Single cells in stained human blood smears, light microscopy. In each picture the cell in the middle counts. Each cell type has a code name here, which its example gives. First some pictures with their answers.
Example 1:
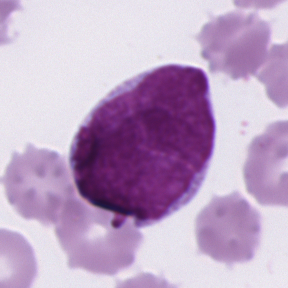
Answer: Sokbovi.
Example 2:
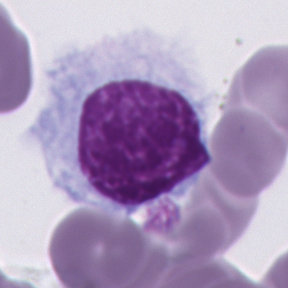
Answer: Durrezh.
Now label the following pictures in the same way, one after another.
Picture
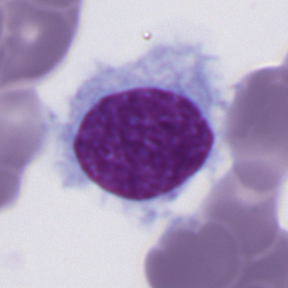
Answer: Durrezh.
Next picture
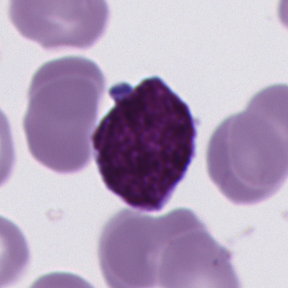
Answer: Sokbovi.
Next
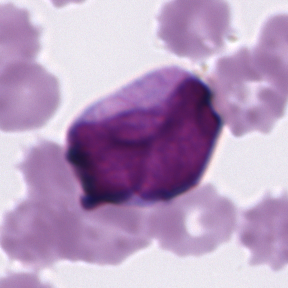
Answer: Sokbovi.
